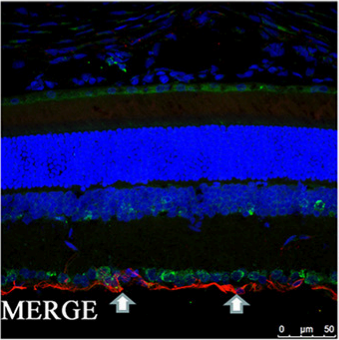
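This is a cross-section of retina with a thick, bright blue outer nuclear layer, a thinner blue inner nuclear layer, and a single row of cells in the ganglion cell layer at the inner edge. Green staining outlines the rounded cells of the ganglion cell layer most strongly, with fainter green dots among the cells of the inner nuclear layer. A thin, wavy red band of fibres lines the innermost surface of the retina directly beneath the ganglion cell row. Above the outer nuclear layer scattered elongated blue nuclei and some green spots lie in the outer tissue.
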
